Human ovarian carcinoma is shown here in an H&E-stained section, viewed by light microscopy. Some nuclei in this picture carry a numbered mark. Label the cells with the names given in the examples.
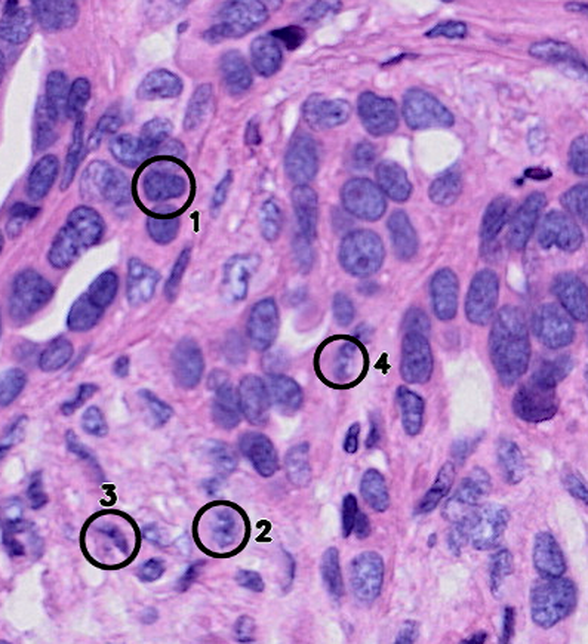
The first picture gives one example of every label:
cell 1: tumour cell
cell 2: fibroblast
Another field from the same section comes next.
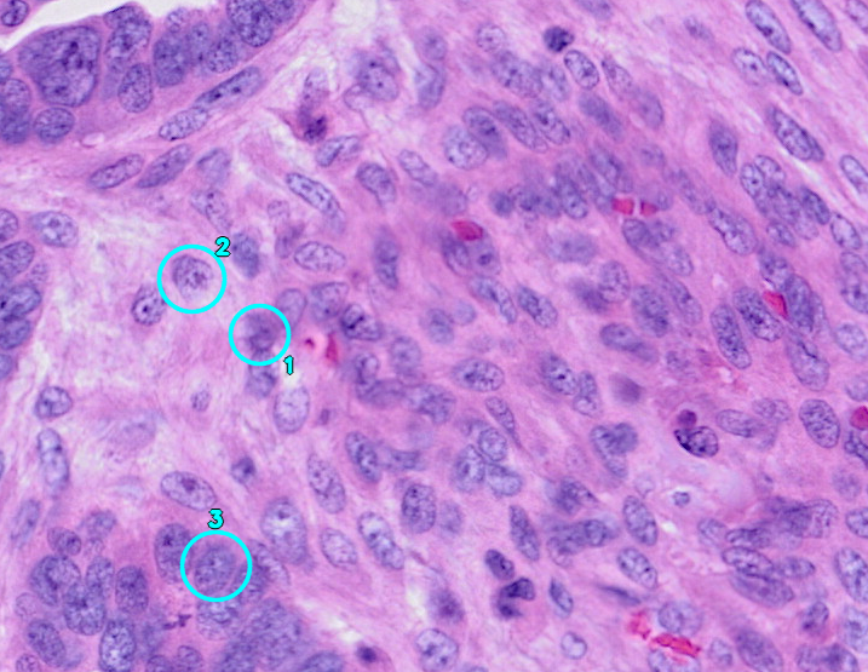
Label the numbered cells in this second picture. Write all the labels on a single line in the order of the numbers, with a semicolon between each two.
fibroblast; fibroblast; tumour cell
